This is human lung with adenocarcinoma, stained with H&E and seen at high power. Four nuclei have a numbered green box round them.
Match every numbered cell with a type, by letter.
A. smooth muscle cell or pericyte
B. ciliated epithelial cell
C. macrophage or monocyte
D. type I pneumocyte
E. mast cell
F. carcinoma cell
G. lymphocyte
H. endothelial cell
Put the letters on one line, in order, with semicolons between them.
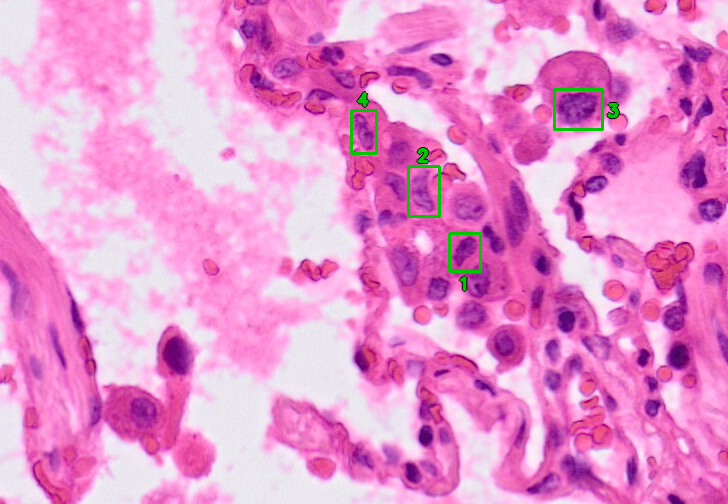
C; C; F; C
